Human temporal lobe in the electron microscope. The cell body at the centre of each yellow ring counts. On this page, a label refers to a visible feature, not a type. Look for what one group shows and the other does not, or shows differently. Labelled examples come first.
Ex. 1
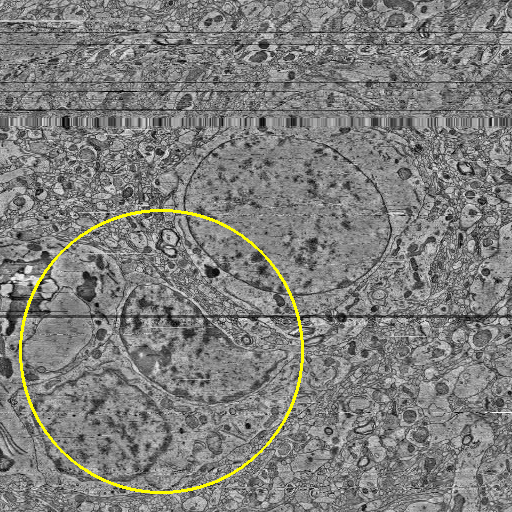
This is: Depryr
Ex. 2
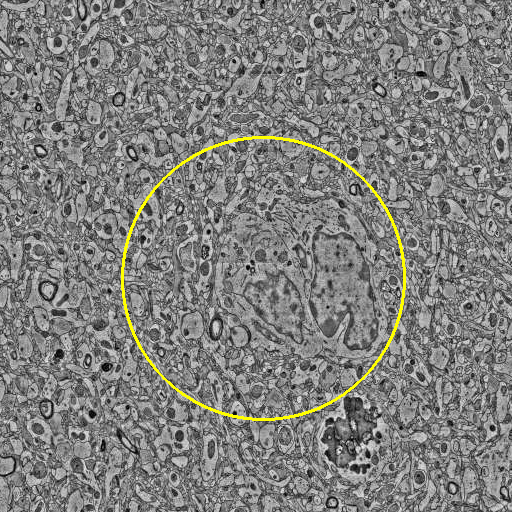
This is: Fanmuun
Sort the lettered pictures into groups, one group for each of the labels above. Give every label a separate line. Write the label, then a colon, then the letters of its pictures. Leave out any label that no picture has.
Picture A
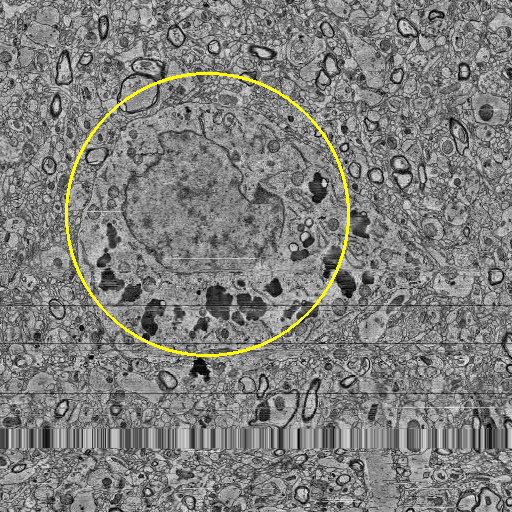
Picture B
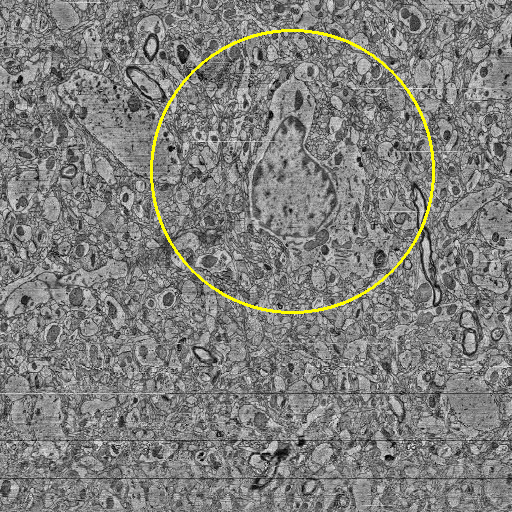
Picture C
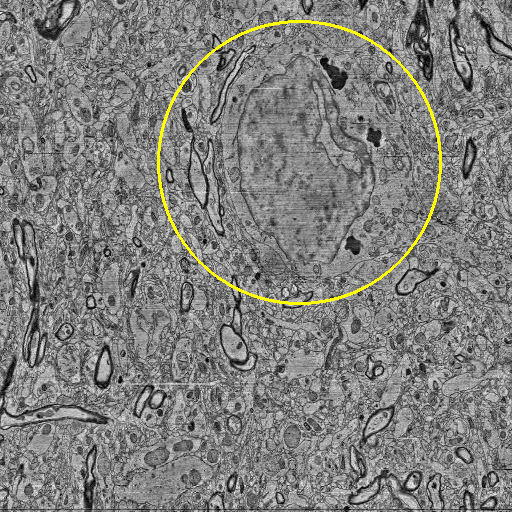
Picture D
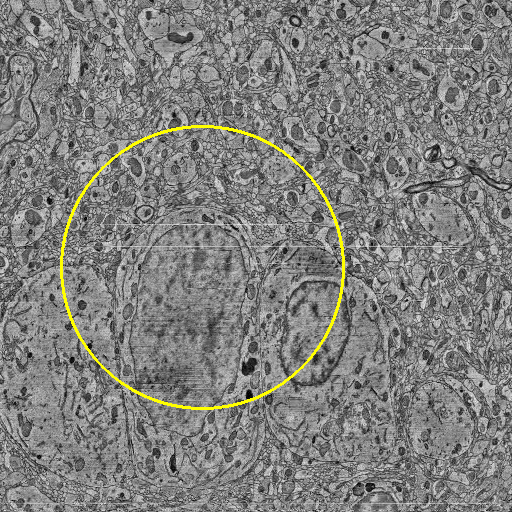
Depryr: D
Fanmuun: A, B, C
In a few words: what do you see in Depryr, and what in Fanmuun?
Depryr: smooth nuclear envelopes without deep folds; Fanmuun: deeply folded or indented nuclear envelopes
